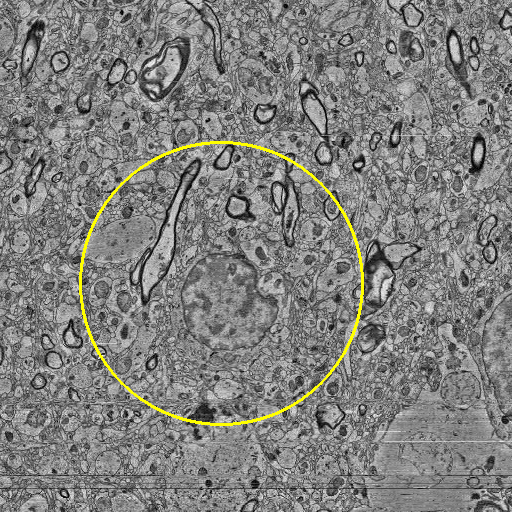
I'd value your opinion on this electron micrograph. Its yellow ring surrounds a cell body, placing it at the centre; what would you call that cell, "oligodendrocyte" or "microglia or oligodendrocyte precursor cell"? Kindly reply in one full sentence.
It is an oligodendrocyte that sits centred within the yellow ring in this micrograph.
